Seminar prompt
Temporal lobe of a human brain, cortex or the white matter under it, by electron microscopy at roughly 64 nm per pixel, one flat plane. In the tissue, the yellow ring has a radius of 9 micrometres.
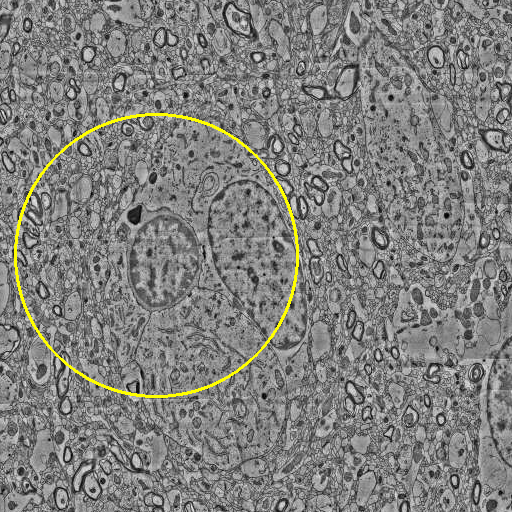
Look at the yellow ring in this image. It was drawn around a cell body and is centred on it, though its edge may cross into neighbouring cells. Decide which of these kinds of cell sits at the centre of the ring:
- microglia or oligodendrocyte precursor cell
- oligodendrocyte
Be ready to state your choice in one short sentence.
The kind of cell at the ring's centre is an oligodendrocyte.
